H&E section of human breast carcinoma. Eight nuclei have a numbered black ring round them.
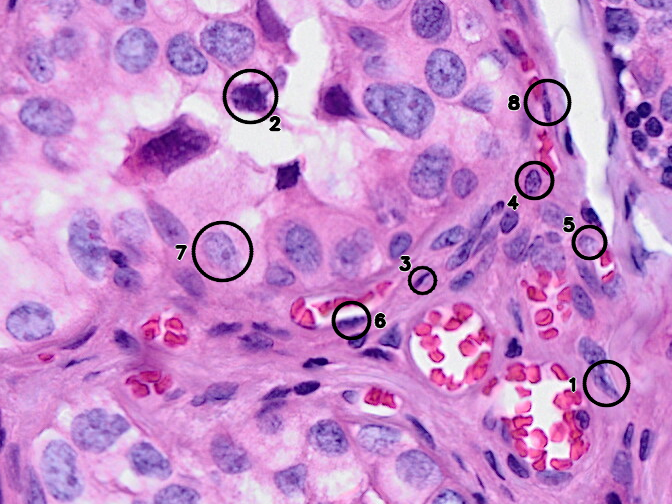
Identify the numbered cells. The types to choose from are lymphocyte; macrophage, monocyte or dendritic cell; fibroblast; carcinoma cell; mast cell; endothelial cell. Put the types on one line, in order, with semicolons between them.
fibroblast; carcinoma cell; endothelial cell; mast cell; endothelial cell; endothelial cell; carcinoma cell; endothelial cell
